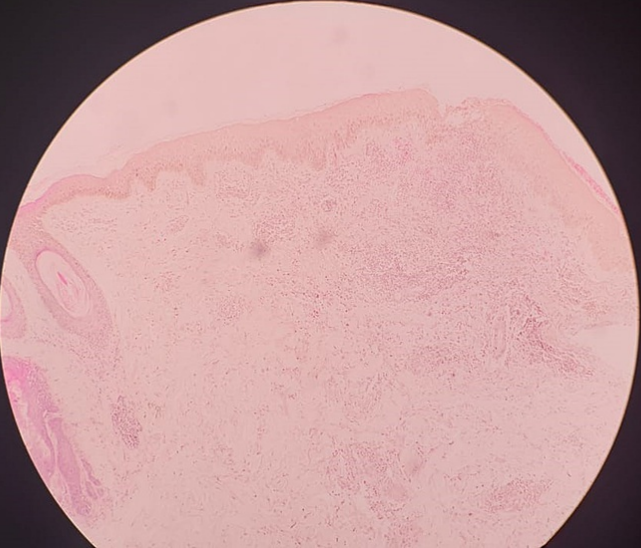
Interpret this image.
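Low-power view of skin, with epidermis along the top and dermis filling most of the field. At the left edge are cross- and oblique sections of hair follicles with concentric epithelial layers, and a more intensely pink epithelial structure lies at the lower left. The dermis is pale pink fibrous connective tissue. It contains scattered small nuclei, which are denser in the upper dermis beneath the epidermis, especially toward the right side of the field.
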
